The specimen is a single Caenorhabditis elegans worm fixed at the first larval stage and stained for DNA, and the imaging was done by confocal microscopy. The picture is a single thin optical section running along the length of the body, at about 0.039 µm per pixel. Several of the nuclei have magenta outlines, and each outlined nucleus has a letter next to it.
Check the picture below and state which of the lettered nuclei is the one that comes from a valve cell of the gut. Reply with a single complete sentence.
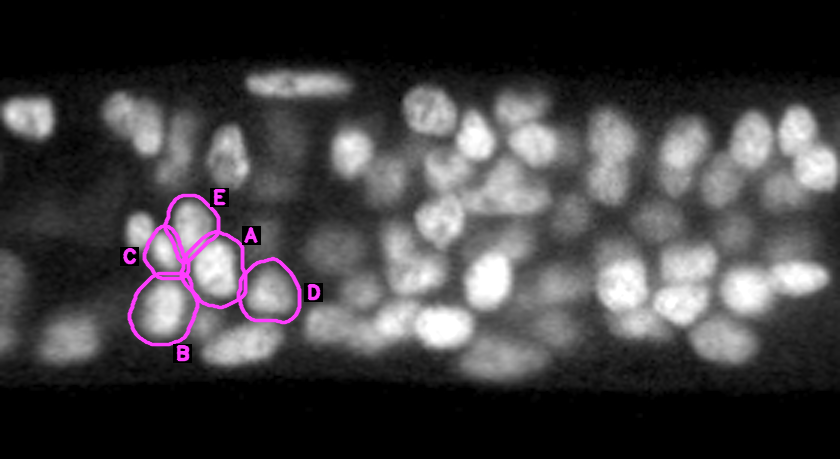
Of the marked nuclei, C is the one in a valve cell of the gut.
